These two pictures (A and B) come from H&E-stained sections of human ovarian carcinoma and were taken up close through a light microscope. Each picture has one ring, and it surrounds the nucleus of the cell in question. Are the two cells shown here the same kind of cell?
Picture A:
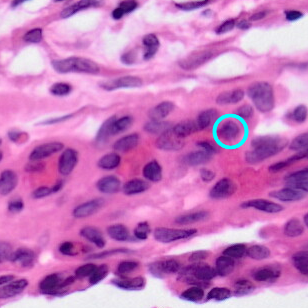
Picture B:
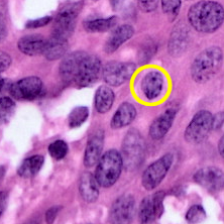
no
